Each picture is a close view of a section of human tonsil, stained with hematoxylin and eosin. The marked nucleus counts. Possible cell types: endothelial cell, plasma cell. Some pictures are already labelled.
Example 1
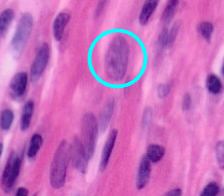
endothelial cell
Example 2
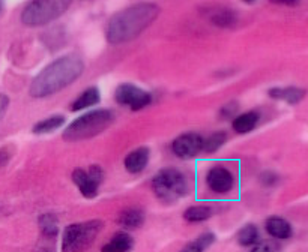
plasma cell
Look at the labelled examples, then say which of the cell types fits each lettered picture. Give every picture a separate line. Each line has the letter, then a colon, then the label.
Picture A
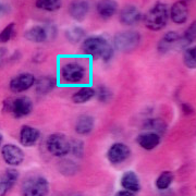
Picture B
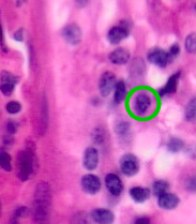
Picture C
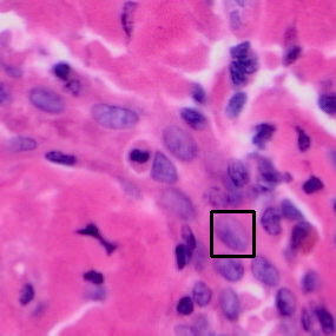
A: plasma cell
B: plasma cell
C: endothelial cell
